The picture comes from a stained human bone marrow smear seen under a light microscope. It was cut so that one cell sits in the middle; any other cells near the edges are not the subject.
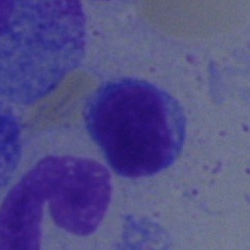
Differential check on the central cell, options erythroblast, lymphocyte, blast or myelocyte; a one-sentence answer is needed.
The central cell, amid any neighbouring cells, is a lymphocyte.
